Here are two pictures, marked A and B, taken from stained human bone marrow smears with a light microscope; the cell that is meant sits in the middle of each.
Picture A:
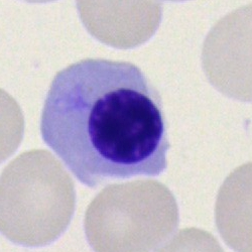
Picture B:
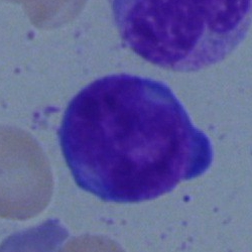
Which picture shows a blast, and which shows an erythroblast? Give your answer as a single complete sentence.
The cell in picture A is an erythroblast, and the one in picture B is a blast.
